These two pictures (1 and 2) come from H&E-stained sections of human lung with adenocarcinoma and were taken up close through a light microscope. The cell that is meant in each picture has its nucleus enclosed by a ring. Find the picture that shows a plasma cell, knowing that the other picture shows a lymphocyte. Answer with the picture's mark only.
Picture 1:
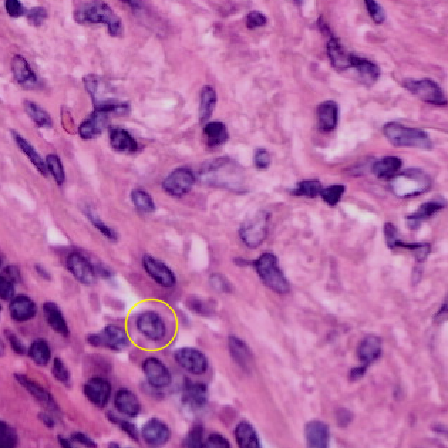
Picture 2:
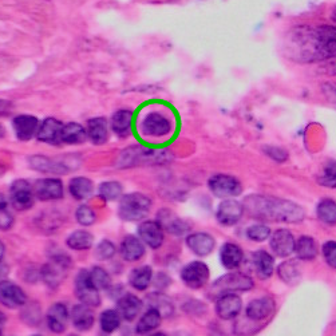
1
